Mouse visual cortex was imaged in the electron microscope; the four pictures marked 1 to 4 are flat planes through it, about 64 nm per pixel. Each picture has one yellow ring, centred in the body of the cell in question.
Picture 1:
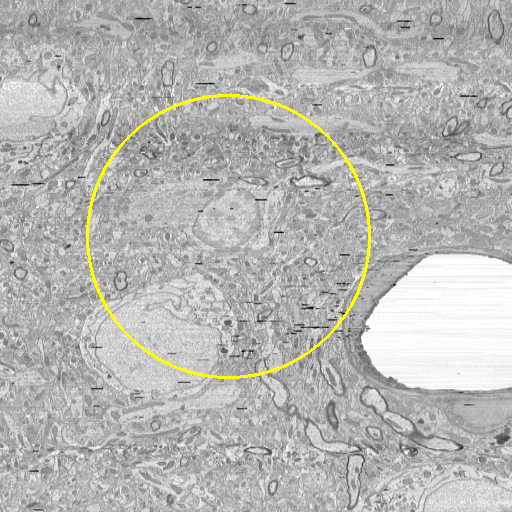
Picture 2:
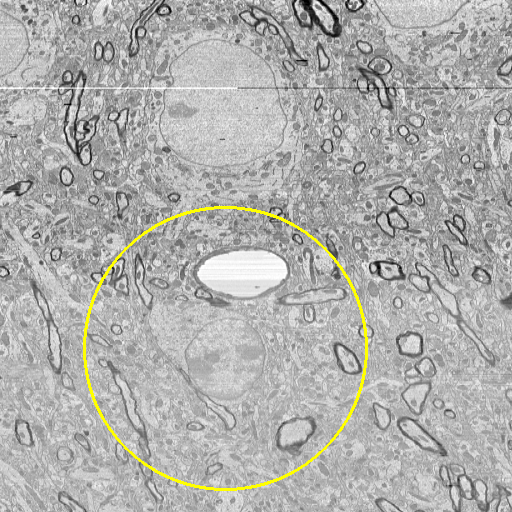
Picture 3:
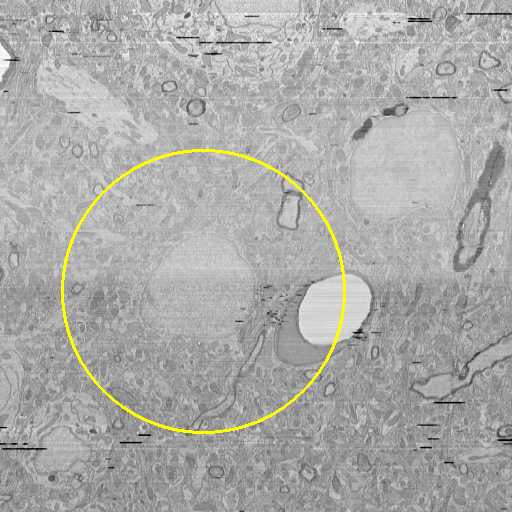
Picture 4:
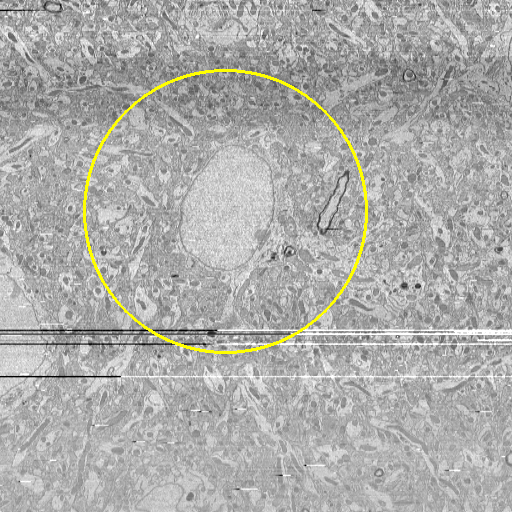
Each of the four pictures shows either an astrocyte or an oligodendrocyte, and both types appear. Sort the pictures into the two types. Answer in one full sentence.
Pictures 3 and 4 show astrocytes, and pictures 1 and 2 show oligodendrocytes.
